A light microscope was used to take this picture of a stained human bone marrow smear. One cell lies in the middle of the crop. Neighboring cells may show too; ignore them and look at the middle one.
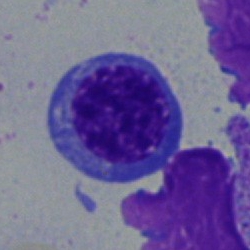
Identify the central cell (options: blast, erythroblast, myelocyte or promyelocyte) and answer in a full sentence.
The cell in the exact centre of the crop is an erythroblast.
